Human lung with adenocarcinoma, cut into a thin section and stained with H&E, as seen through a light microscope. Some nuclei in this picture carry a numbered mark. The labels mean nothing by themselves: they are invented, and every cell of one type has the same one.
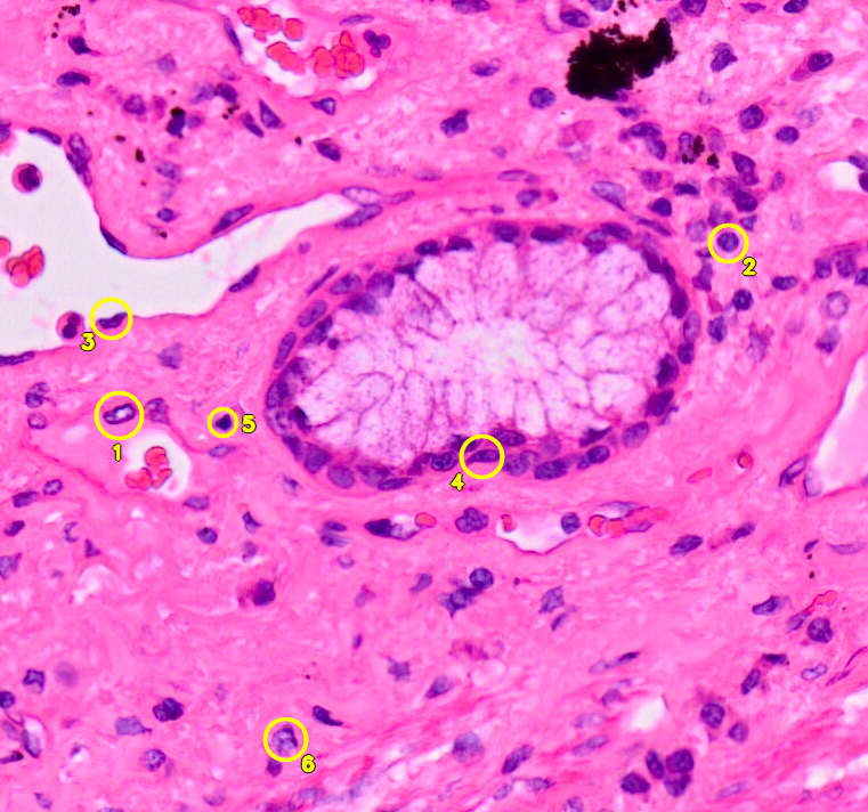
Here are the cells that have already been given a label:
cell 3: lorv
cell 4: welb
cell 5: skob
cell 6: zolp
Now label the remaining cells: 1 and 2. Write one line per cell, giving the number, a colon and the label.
1: lorv
2: skob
